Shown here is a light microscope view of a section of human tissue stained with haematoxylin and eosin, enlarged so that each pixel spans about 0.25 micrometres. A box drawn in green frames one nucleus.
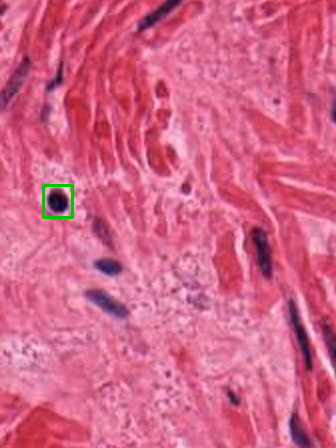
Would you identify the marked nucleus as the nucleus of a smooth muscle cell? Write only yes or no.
no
